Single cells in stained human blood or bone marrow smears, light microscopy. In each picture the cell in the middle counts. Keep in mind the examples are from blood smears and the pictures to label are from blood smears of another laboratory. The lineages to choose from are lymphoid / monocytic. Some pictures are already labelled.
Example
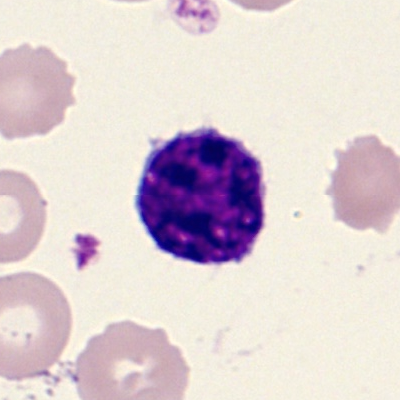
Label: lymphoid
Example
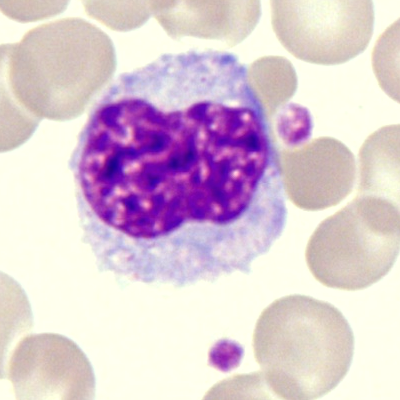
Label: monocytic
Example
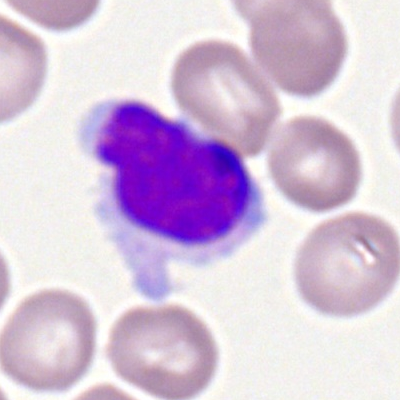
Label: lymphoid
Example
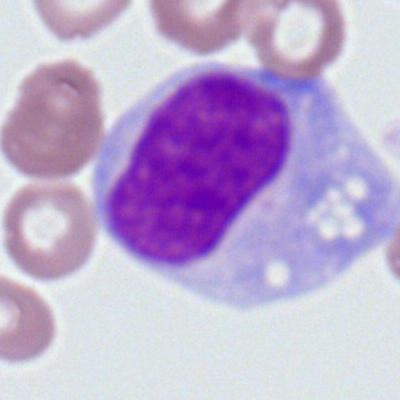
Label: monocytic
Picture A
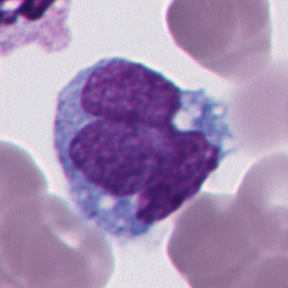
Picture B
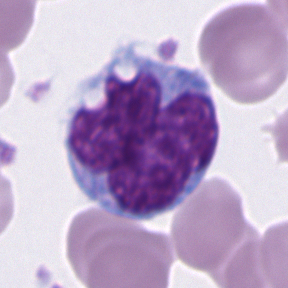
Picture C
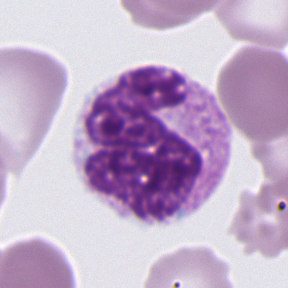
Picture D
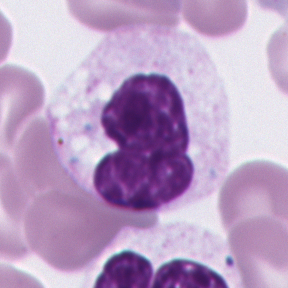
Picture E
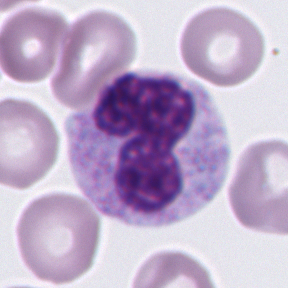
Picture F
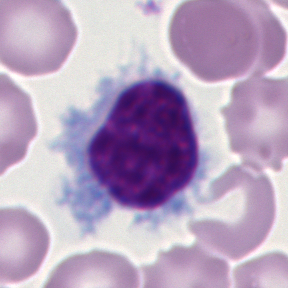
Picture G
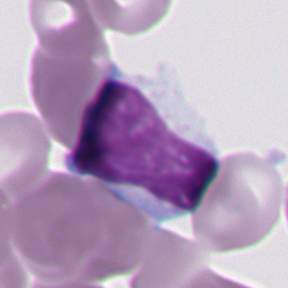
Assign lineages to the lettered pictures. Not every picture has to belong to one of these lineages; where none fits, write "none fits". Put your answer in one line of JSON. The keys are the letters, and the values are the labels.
{"A": "monocytic", "B": "monocytic", "C": "none fits", "D": "none fits", "E": "none fits", "F": "lymphoid", "G": "lymphoid"}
